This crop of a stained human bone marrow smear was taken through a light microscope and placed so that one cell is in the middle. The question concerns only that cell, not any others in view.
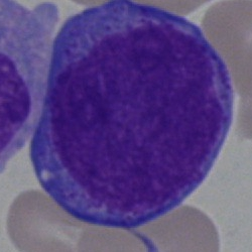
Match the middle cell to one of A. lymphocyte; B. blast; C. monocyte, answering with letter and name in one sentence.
The correct response is option B, naming the cell in the middle as a blast.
